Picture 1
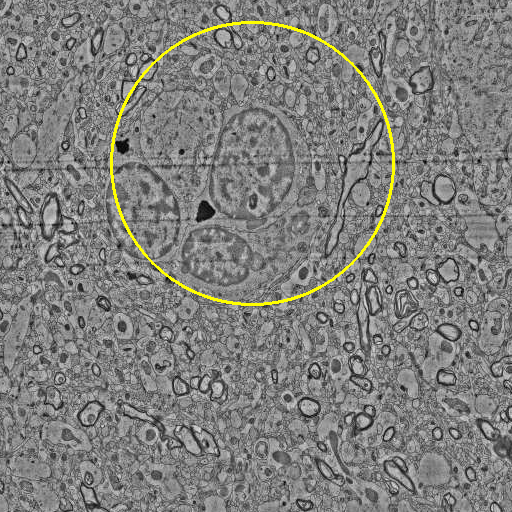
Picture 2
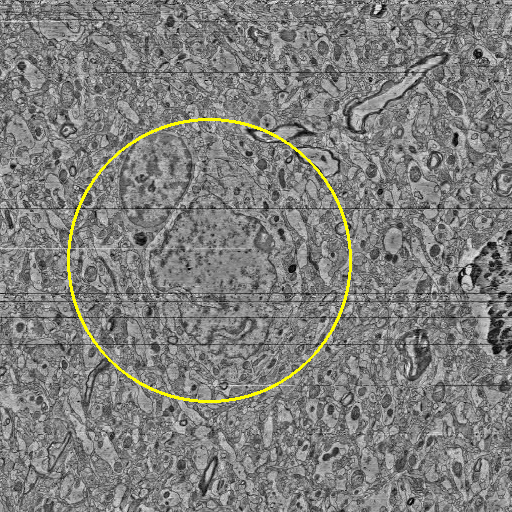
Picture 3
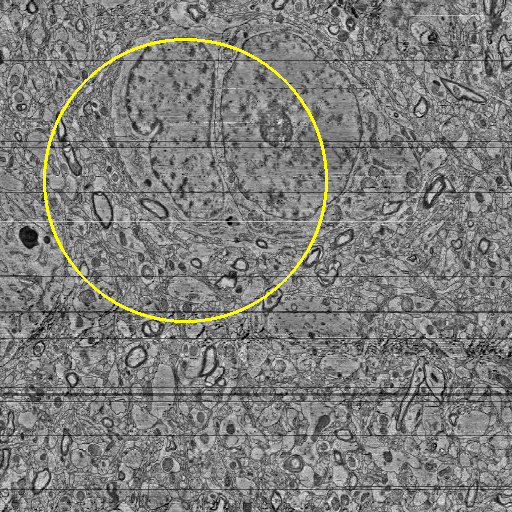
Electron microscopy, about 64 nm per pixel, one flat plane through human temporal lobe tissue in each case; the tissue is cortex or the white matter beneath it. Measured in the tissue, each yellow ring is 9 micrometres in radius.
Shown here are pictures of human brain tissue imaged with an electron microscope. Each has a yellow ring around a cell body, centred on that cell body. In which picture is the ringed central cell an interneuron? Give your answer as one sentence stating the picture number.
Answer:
My answer is picture 2, where the ringed cell at the centre is the one sought.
